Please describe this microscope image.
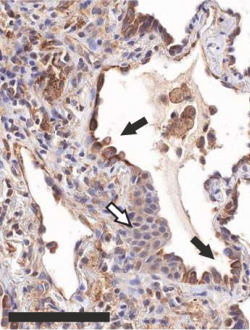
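This is fibrotic lung tissue in which distorted alveolar spaces are lined by plump, cuboidal epithelial cells instead of thin flat lining. The lining cells are crowded and bulge into the airspaces, and in one place they pile up into a multilayered cluster of closely packed cells. Many of the lining cells carry brown staining in their cytoplasm, while their round nuclei are blue. Loose cells float within the airspace, and the widened interstitium between the spaces holds scattered cells with blue nuclei and pale fibrous matrix.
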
